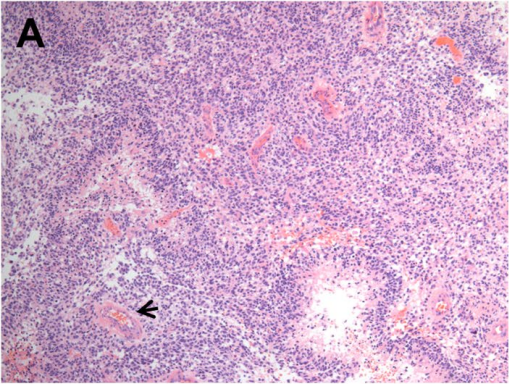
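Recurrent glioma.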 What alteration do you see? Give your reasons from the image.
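Little pale background lies between the cells. The answer: solid growth, more dense cellularity.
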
